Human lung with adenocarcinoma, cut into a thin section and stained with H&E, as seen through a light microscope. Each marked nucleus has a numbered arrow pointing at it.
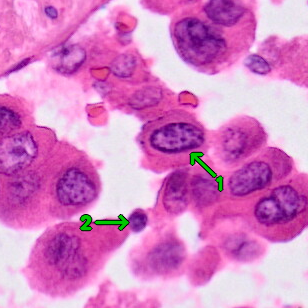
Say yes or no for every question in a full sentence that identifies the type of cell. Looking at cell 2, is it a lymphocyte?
Yes, the cell tagged with the number 2 is a lymphocyte.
